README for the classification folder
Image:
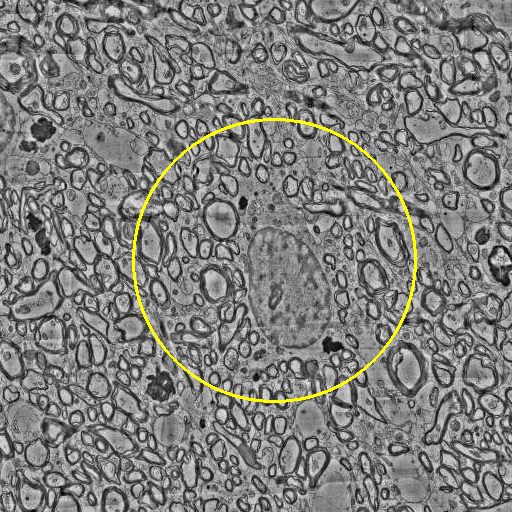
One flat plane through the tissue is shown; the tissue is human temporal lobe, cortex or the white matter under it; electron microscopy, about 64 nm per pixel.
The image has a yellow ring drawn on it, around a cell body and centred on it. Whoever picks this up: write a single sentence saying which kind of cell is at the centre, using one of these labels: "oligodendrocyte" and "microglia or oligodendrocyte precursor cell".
This cell body is that of an oligodendrocyte.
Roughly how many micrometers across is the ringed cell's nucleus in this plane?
The nucleus appears roughly 8 by 5 micrometres in this plane.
